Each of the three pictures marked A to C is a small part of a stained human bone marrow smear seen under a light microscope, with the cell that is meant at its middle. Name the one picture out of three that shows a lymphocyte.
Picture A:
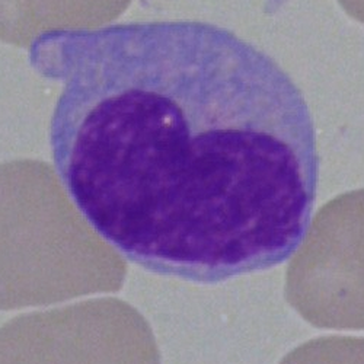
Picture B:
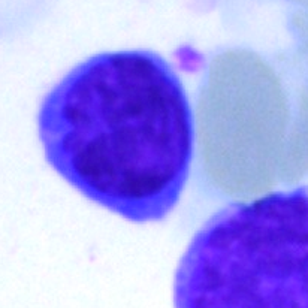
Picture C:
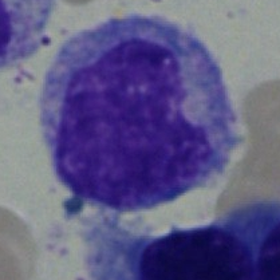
B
